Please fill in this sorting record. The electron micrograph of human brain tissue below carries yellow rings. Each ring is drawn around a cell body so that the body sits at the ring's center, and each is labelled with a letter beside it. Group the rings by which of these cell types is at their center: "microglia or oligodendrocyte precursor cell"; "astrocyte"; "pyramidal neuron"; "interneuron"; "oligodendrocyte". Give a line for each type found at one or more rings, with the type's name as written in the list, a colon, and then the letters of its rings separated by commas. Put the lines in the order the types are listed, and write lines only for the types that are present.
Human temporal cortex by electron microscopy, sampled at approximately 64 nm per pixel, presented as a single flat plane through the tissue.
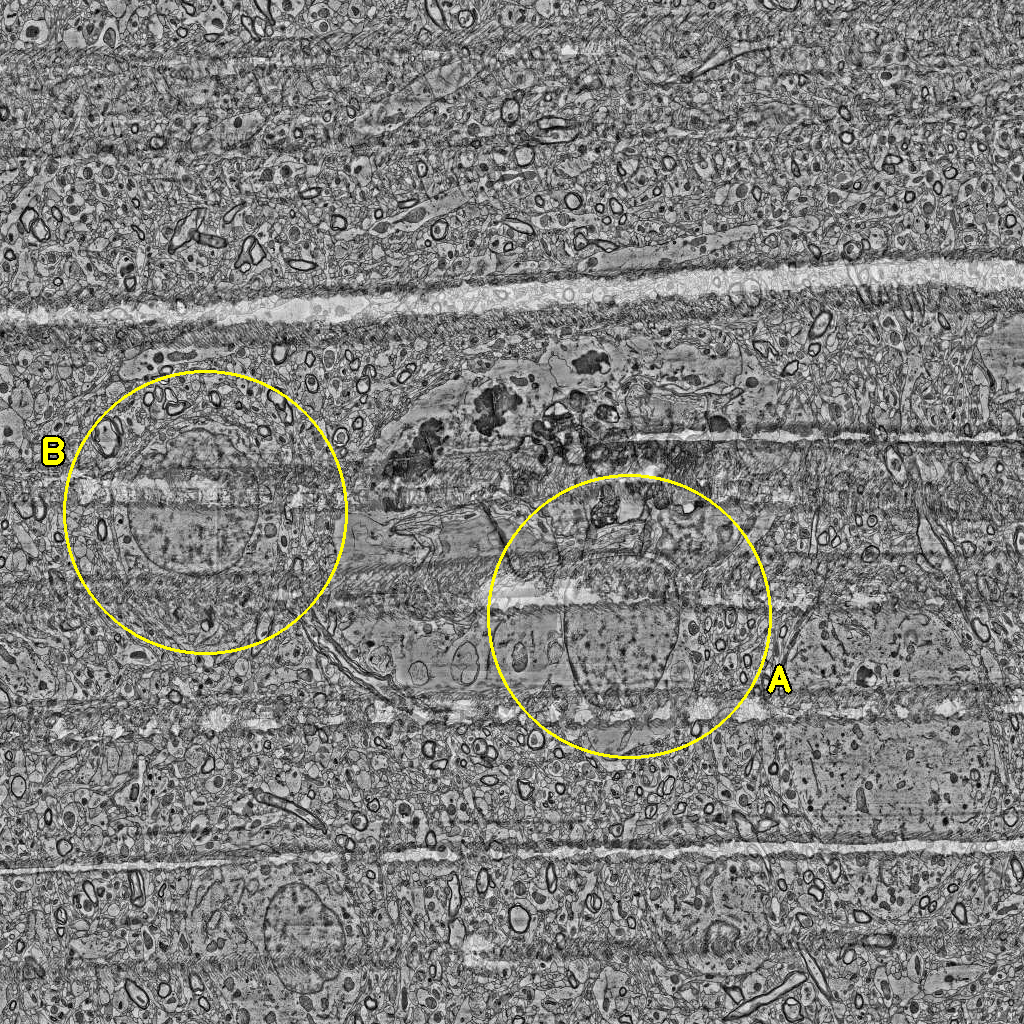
astrocyte: A
pyramidal neuron: B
